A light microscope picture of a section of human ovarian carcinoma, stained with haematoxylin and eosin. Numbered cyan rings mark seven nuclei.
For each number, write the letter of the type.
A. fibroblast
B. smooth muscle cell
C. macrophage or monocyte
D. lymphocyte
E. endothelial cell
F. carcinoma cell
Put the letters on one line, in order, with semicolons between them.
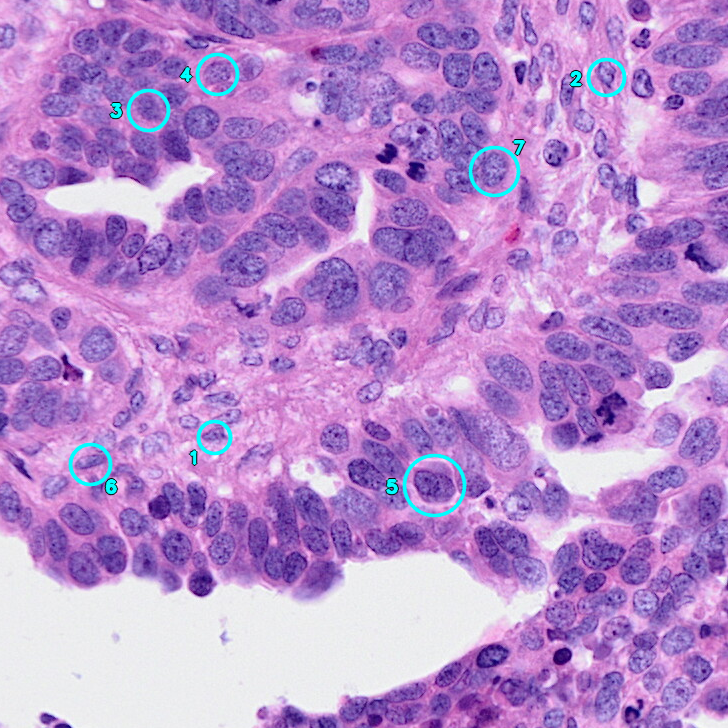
A; A; F; F; F; A; F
